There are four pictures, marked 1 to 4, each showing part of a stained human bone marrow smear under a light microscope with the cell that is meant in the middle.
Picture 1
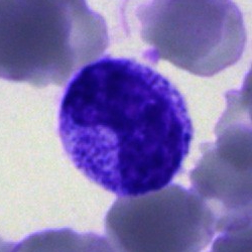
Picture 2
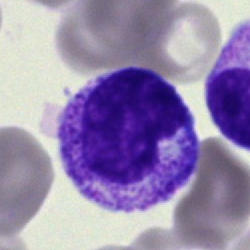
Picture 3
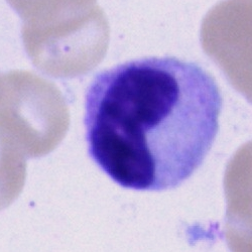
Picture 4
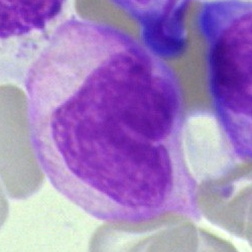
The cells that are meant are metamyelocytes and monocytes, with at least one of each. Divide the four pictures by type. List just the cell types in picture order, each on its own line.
metamyelocyte
metamyelocyte
metamyelocyte
monocyte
